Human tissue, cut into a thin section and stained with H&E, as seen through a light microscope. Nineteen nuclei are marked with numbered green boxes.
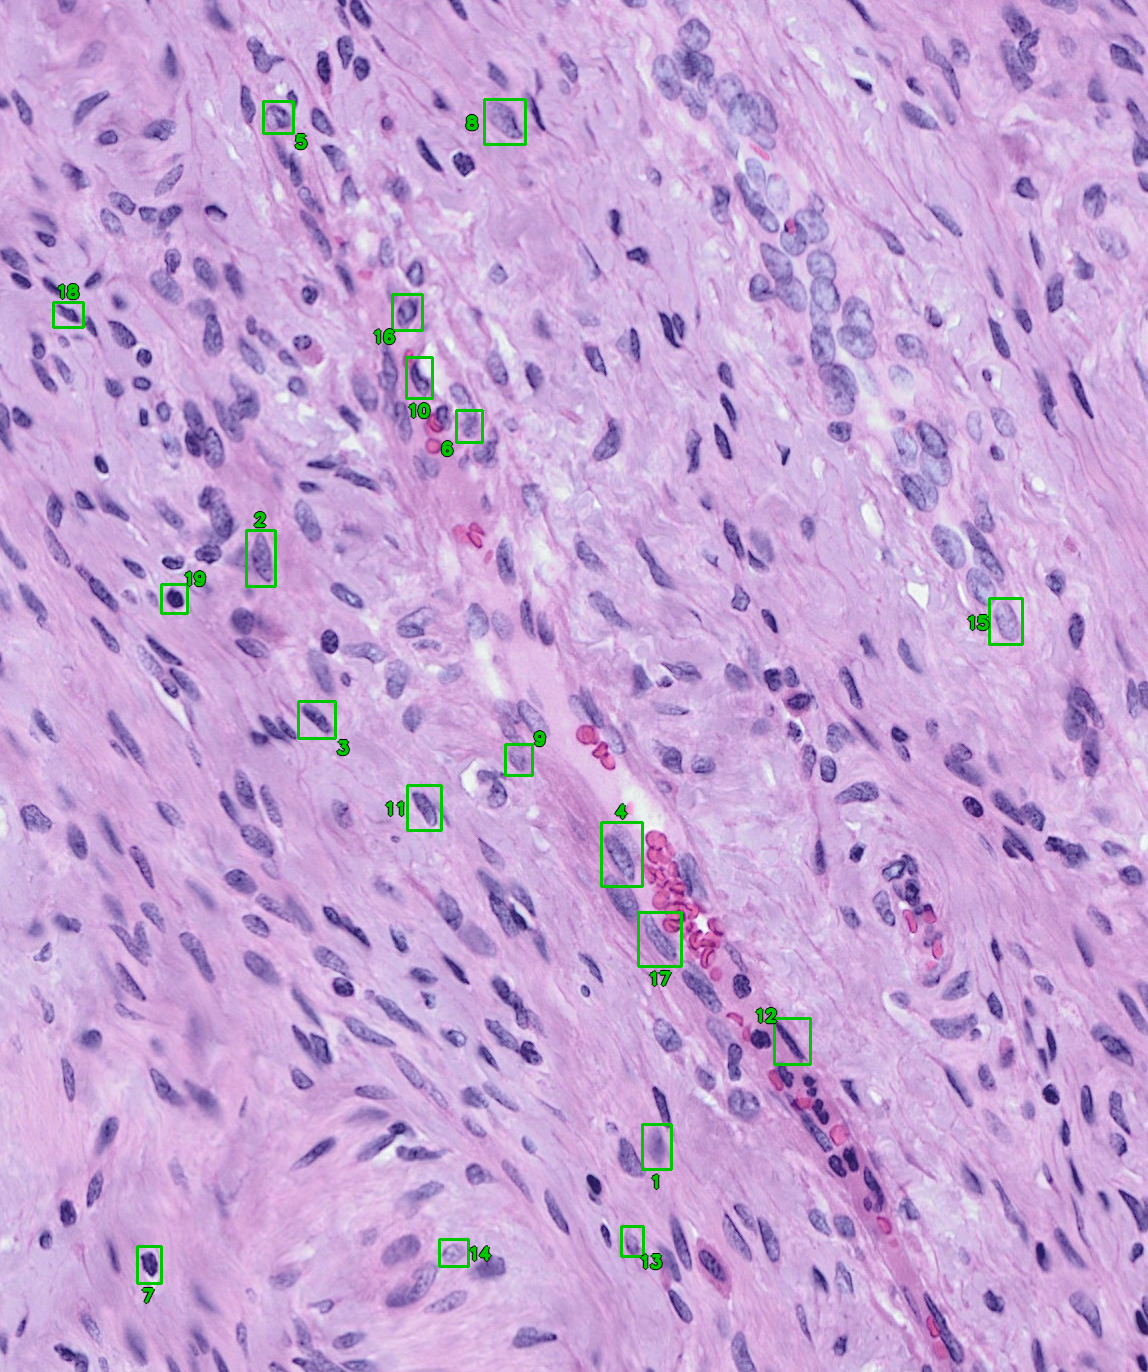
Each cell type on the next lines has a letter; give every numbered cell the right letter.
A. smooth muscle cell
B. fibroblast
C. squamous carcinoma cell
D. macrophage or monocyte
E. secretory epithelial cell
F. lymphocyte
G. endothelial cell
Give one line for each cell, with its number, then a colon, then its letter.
1: B
2: B
3: B
4: G
5: A
6: G
7: F
8: B
9: A
10: G
11: B
12: G
13: A
14: A
15: G
16: G
17: G
18: B
19: F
